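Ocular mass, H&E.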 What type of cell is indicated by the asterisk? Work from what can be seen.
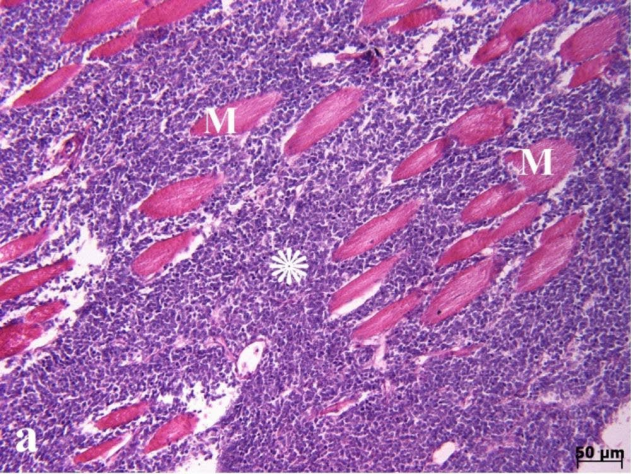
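Dense sheets of small round cells with dark purple nuclei. The cells fill the spaces between pink muscle bundles. So: basophilic neoplastic cells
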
